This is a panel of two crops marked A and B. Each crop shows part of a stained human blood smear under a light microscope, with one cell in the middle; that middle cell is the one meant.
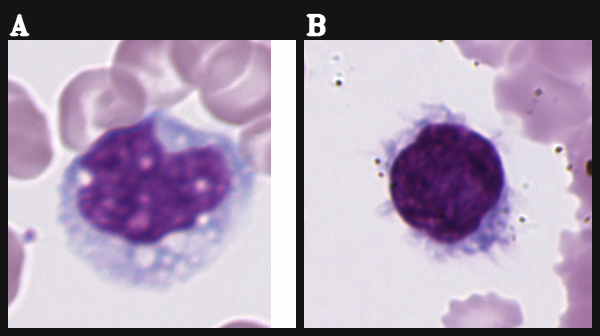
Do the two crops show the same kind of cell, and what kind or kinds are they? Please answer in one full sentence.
No, the correct reading is a monocyte in crop A and a hairy cell in crop B.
